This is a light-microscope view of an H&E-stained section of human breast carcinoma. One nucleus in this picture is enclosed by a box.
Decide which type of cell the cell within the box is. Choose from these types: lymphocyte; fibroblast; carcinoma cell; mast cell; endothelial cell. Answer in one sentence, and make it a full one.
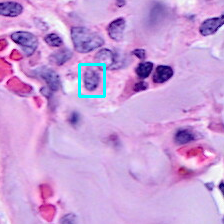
In this section of tissue, the cell within the box is a mast cell.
